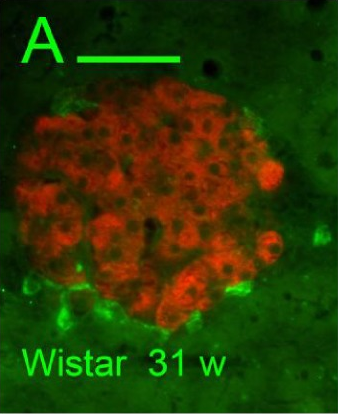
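This shows a pancreatic islet: a compact, rounded cluster of polygonal endocrine cells set in the duller surrounding tissue. At the rim of the islet, a few small cells are brightly green instead of red; they lie singly or in small groups at the periphery, mostly along the lower edge, and are irregular in shape.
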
